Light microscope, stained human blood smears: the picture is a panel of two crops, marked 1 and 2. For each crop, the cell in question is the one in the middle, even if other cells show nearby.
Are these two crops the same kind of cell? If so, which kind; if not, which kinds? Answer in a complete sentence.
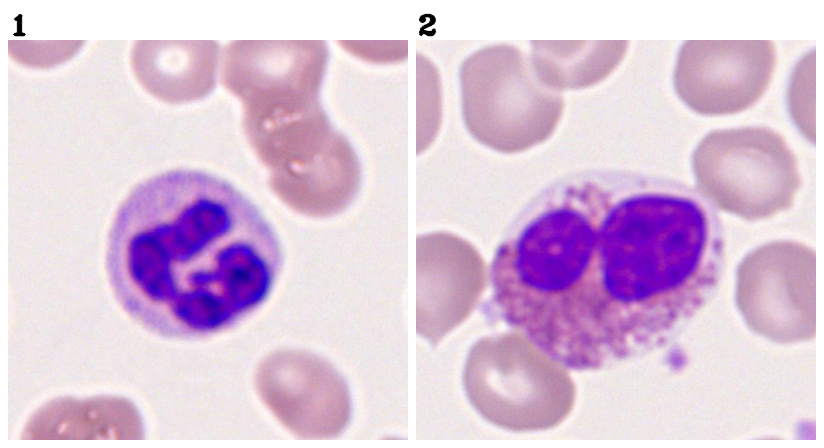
No, crop 1 shows a segmented neutrophil, and the cell in crop 2 is an eosinophil.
